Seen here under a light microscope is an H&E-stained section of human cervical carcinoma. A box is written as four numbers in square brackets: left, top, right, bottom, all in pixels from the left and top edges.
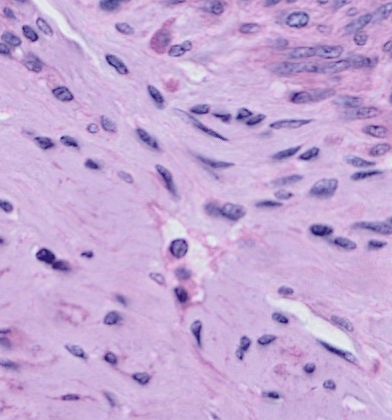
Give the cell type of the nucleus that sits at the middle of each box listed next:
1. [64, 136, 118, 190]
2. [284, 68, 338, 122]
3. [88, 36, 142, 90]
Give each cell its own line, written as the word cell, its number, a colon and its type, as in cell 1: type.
cell 1: fibroblast
cell 2: smooth muscle cell
cell 3: fibroblast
